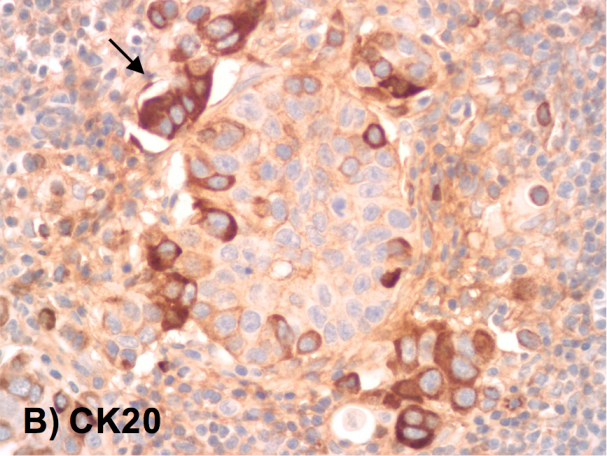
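Nest of large tumor cells with pale blue oval nuclei, set among small round dark-blue cells. Intense brown cytoplasmic stain marks scattered tumor cells, mostly at the edges of the nest. The stained cells are rounded to polygonal with sharply outlined dark-brown cytoplasm around a paler nucleus. Cells in the centre of the nest stain weakly or not at all. A fainter diffuse brown tint lies over the surrounding tissue.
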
